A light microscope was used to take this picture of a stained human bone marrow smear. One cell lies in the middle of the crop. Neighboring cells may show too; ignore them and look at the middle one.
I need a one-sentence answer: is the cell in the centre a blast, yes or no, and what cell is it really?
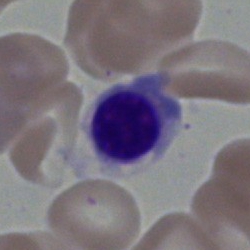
No, the central cell is an erythroblast, not a blast.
